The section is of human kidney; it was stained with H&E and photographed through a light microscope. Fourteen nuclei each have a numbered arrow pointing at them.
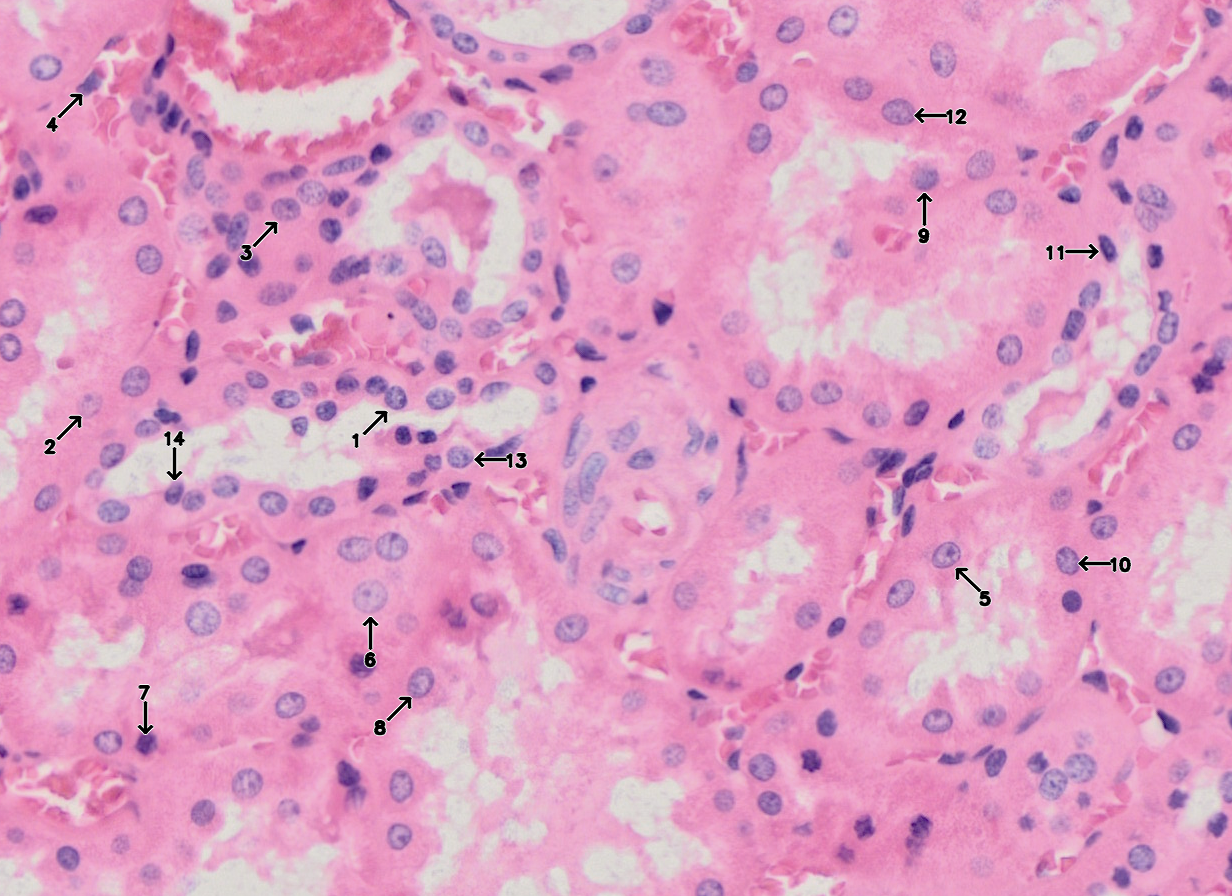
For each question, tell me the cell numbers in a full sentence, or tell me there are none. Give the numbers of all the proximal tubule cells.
As for the cells numbered 2, 5, 6, 7, 8, 9, 10 and 12, they are proximal tubule cells.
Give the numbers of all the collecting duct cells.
Identified as collecting duct cells are the cells numbered 1, 3, 11, 13 and 14.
